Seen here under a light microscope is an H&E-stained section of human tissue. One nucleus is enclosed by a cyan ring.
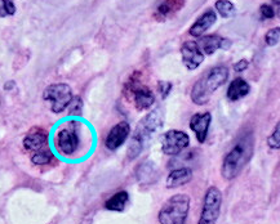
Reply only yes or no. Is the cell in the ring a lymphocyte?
yes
